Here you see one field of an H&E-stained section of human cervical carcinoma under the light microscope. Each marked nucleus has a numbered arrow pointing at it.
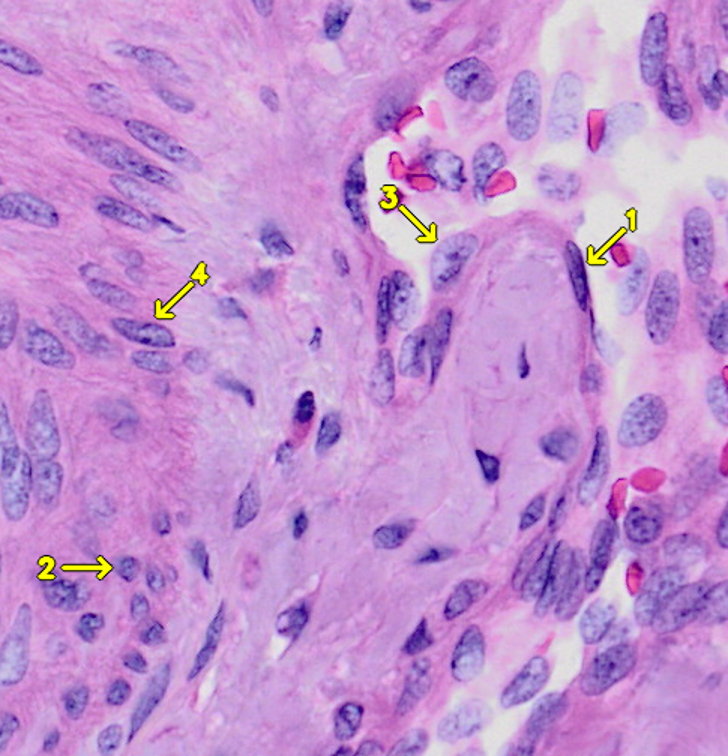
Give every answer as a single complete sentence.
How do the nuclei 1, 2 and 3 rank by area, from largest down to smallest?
By area, largest first, they run 3, 1, 2.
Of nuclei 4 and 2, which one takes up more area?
Number 4 is larger; its area is about 2.5 times that of number 2.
